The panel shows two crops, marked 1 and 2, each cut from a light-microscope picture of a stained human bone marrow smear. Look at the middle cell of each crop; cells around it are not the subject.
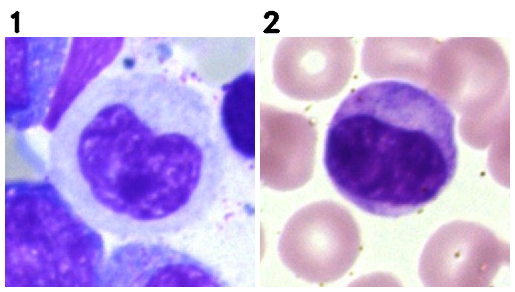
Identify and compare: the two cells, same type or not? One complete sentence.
No, in crop 1 there is a band neutrophil, and in crop 2 there is a metamyelocyte.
